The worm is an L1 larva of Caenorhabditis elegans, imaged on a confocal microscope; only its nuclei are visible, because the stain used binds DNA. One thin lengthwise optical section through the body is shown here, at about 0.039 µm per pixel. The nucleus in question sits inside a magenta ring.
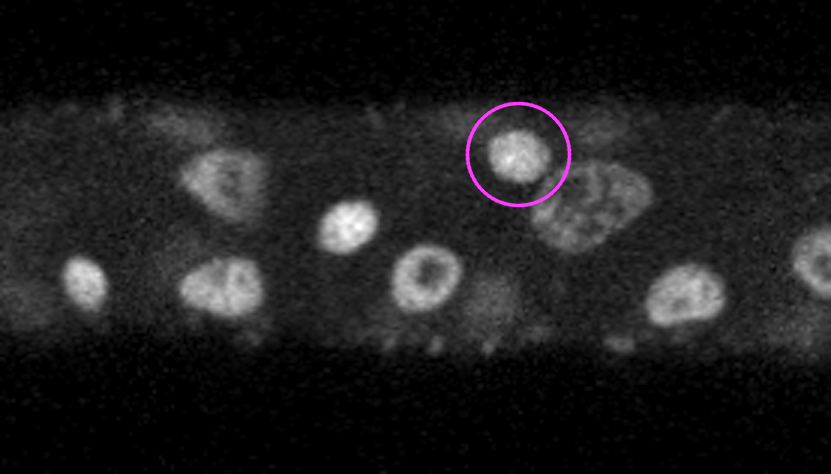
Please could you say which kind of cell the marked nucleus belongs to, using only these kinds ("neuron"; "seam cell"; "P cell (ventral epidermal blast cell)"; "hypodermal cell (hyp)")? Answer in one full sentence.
This nucleus is from a neuron.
